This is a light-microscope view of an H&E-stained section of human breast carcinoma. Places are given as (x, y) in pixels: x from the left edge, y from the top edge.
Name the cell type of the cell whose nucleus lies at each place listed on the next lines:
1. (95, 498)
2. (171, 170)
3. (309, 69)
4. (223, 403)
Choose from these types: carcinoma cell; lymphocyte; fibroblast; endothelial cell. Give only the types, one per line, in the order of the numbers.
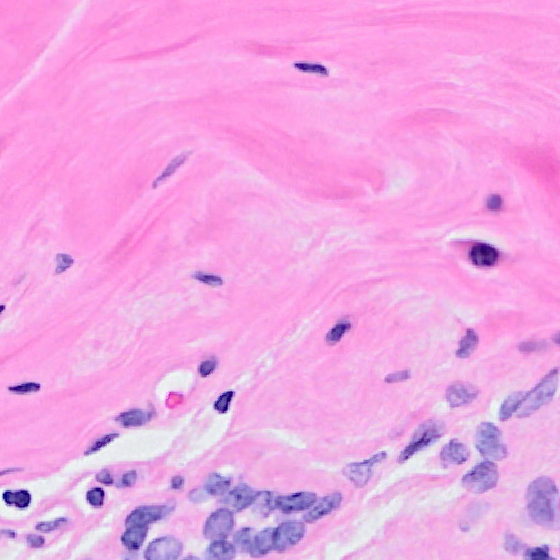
lymphocyte
fibroblast
fibroblast
lymphocyte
